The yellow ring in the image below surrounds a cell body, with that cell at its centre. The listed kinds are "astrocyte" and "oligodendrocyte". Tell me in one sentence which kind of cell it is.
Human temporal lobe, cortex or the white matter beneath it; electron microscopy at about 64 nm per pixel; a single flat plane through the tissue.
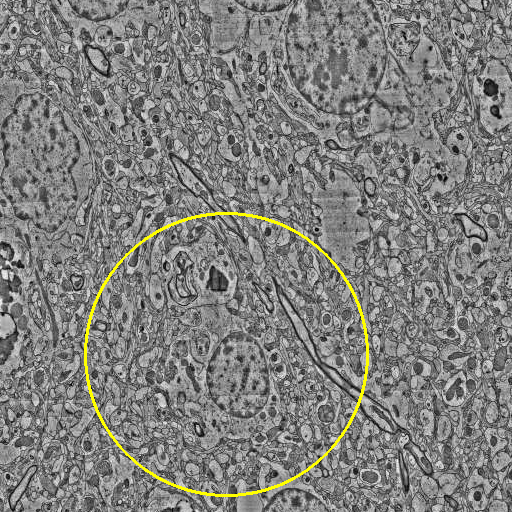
The centre of the ring holds an astrocyte.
